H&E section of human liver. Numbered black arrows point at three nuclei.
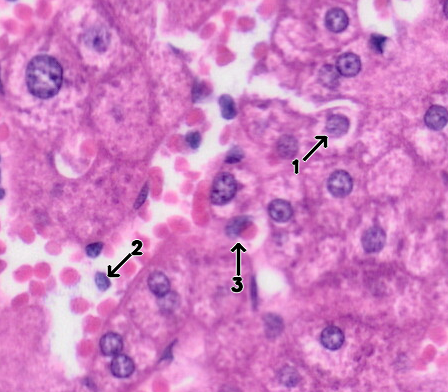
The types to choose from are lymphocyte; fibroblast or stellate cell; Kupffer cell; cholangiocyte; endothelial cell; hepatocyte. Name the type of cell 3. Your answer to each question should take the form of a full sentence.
The numeral 3 marks an endothelial cell in this section.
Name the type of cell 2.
In this section, number 2 marks a lymphocyte.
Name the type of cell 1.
Number 1 among the marked cells is a hepatocyte.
